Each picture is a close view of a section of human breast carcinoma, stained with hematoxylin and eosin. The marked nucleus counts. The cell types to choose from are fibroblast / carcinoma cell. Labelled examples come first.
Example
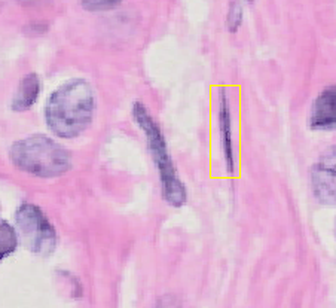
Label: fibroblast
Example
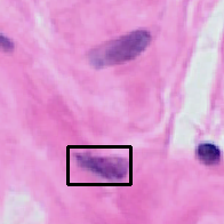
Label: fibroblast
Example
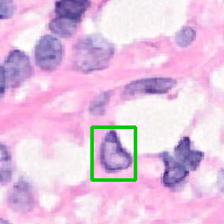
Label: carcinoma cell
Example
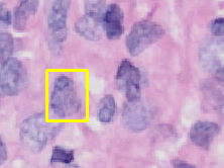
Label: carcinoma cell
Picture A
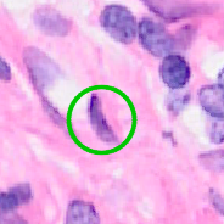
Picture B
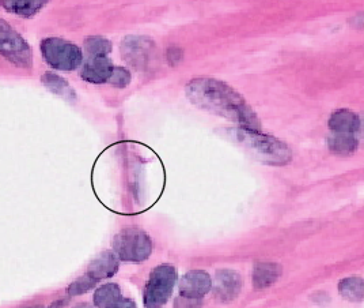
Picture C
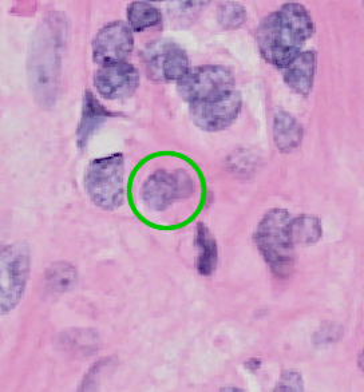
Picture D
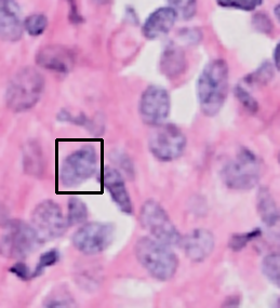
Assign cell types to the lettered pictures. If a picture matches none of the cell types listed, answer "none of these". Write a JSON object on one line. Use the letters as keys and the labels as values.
{"A": "none of these", "B": "none of these", "C": "carcinoma cell", "D": "carcinoma cell"}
